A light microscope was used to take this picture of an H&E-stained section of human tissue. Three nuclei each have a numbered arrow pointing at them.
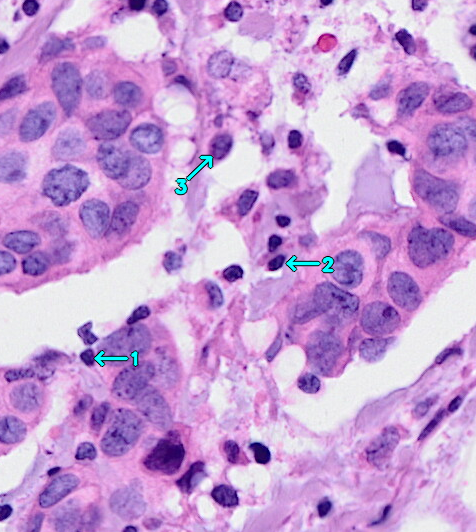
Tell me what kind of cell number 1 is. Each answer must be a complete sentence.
Belonging to a lymphocyte is the nucleus that carries the number 1.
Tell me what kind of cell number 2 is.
In this section, number 2 marks a lymphocyte.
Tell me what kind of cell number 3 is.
At number 3, the marked cell is a macrophage, monocyte or dendritic cell.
